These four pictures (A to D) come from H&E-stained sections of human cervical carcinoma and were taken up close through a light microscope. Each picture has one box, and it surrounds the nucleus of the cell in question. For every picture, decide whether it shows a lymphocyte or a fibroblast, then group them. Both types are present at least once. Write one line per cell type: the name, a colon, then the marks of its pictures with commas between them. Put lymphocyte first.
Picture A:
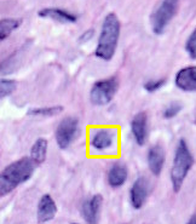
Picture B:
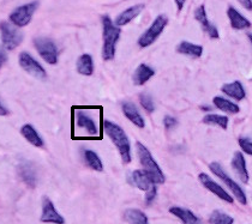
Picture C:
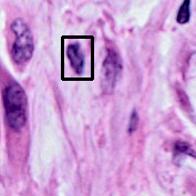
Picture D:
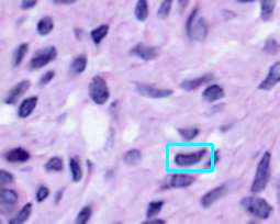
lymphocyte: C
fibroblast: A, B, D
